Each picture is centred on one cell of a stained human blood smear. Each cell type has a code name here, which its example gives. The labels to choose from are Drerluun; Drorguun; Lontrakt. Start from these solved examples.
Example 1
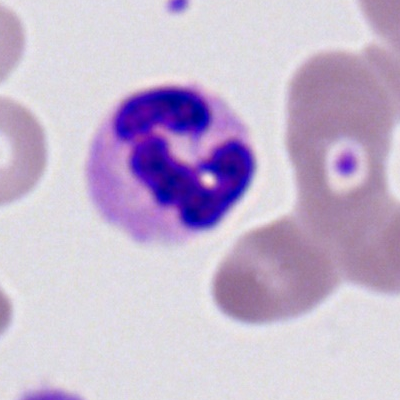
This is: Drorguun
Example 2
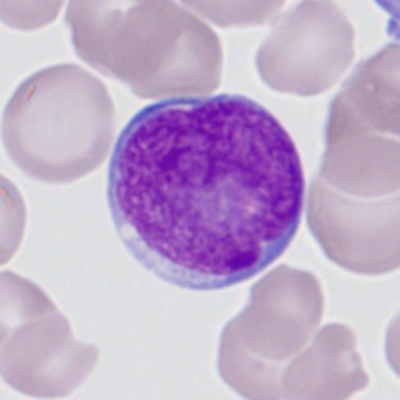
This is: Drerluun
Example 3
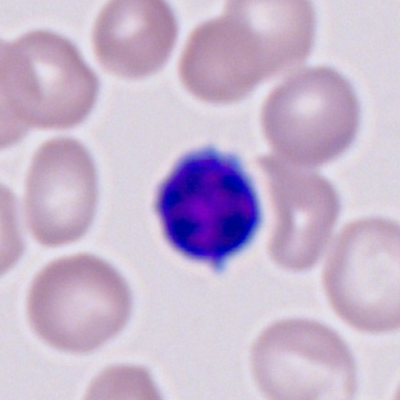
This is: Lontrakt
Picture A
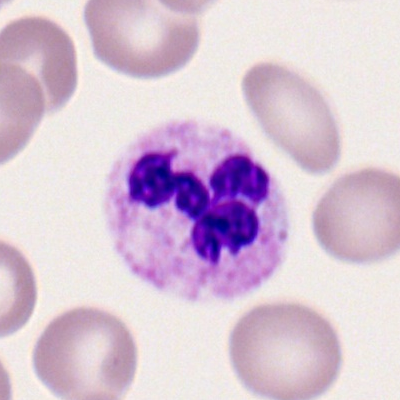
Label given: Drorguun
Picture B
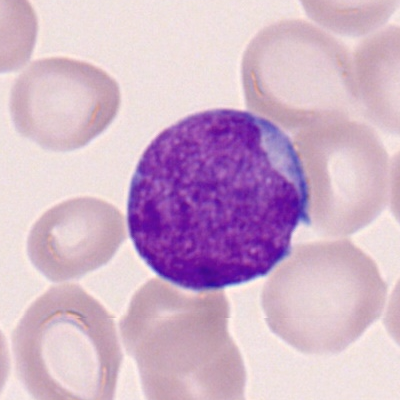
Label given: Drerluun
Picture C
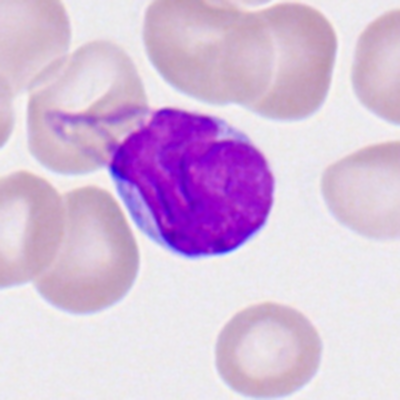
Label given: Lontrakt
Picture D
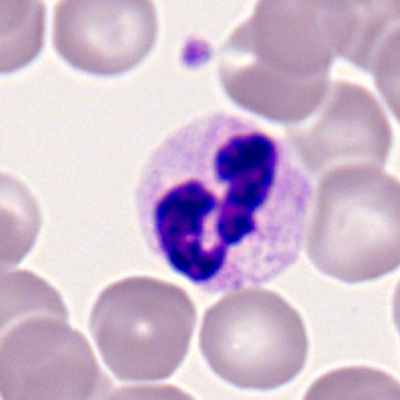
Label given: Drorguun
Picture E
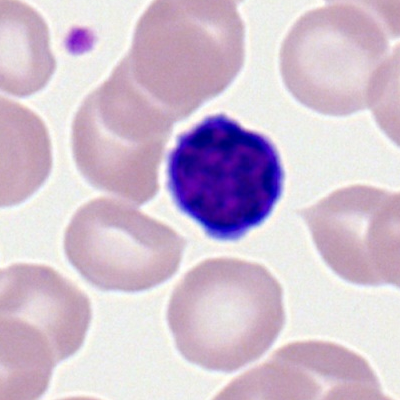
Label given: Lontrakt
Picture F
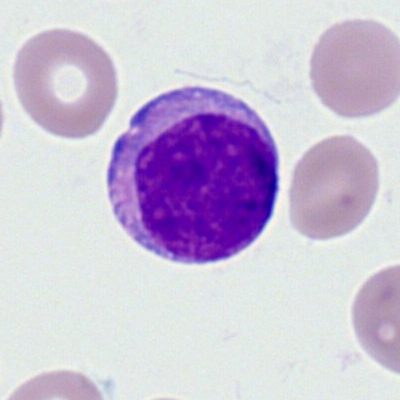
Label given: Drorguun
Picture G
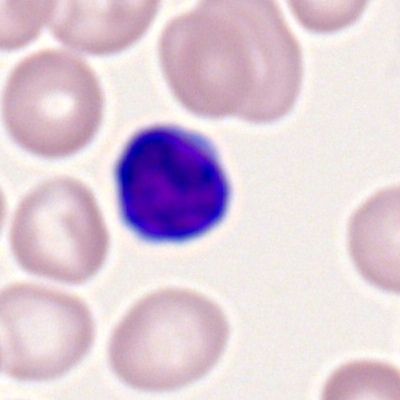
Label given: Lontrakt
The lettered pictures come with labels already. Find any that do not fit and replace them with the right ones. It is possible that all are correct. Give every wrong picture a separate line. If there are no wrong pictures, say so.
F is labelled Drorguun; correct label: Drerluun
